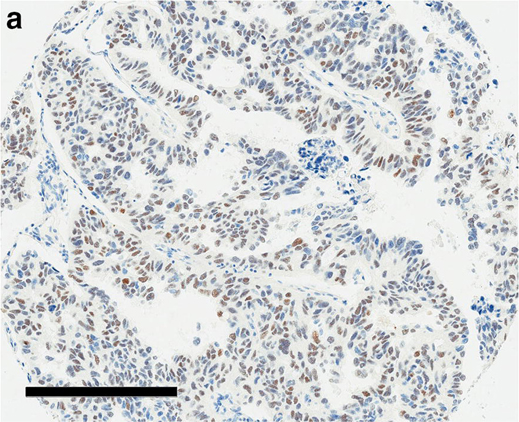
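This is a carcinoma with crowded tumour cells arranged in papillary and trabecular cords around thin fibrovascular cores and spaces. The tumour cells have oval, crowded nuclei, many of which are stained brown, while the scant stromal cells in the cores remain blue.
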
